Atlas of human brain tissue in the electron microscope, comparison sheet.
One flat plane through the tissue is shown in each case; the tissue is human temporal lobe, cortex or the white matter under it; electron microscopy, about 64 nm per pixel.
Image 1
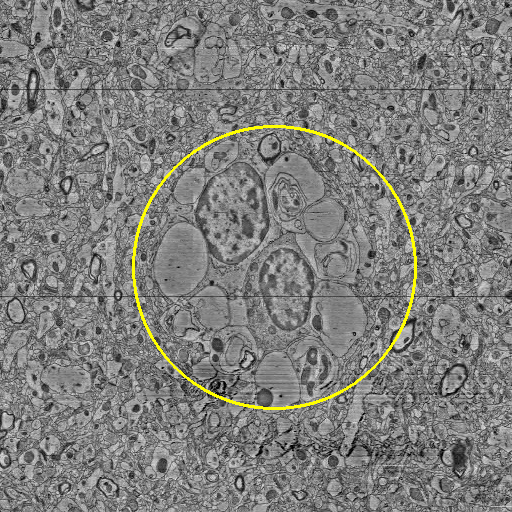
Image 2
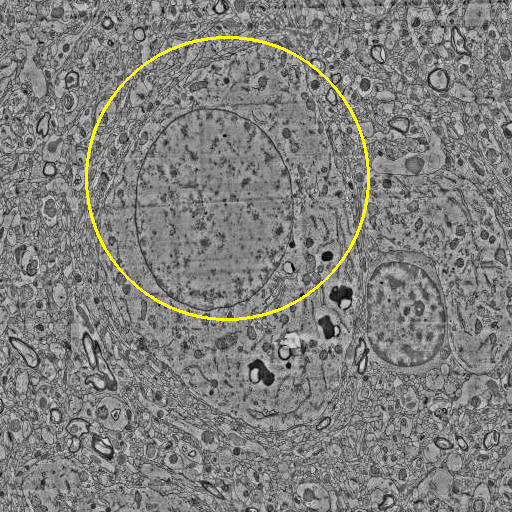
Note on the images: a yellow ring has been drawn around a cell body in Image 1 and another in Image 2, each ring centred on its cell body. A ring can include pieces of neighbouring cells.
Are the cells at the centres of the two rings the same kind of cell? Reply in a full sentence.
No, the two cells are of two kinds.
